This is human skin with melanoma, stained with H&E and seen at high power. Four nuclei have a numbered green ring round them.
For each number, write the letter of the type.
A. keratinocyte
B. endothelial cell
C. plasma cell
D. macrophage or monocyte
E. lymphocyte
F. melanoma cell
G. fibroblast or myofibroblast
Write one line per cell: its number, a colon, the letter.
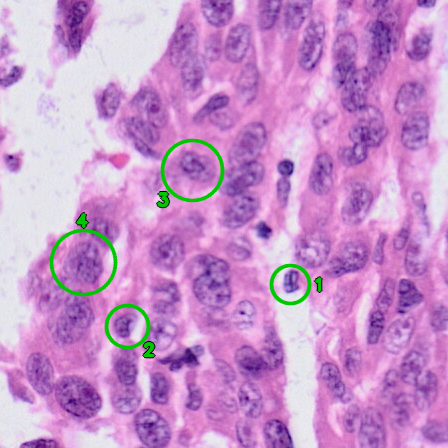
1: E
2: F
3: F
4: F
